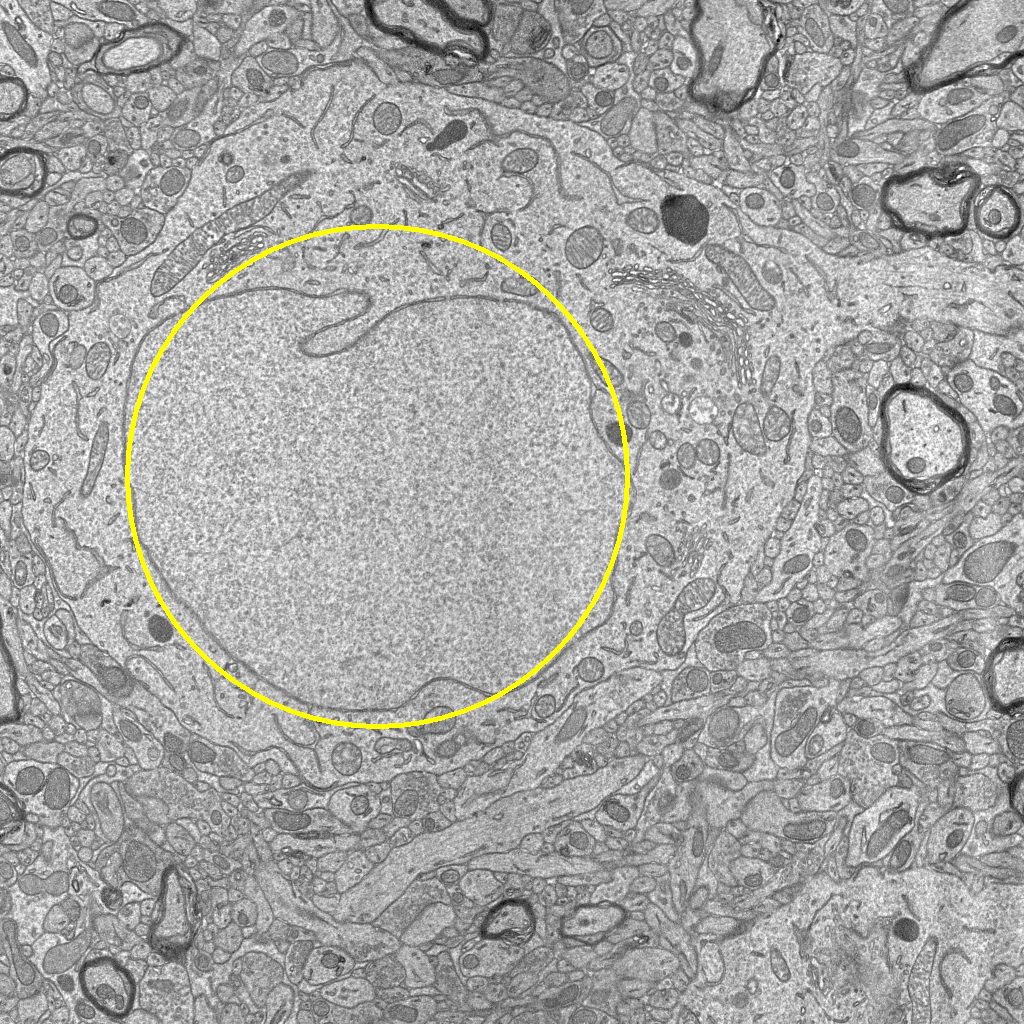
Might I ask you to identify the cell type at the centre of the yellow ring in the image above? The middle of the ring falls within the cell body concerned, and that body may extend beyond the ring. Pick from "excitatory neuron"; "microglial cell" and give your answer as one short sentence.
The centre of the ring falls on an excitatory neuron.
